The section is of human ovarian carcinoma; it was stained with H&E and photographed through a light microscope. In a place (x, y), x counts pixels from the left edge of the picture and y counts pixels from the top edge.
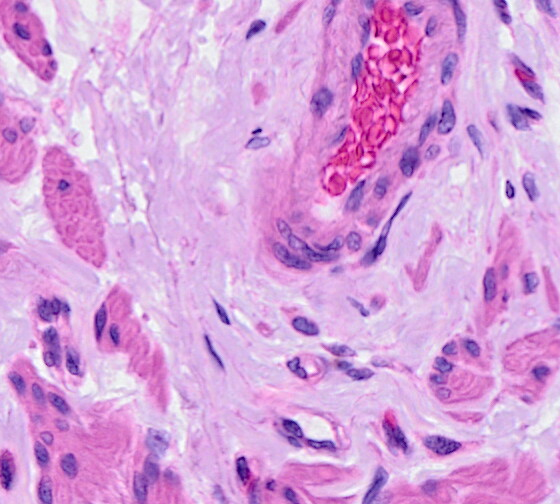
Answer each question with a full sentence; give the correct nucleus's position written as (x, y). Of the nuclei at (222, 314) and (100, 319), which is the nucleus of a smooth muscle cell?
Of the two nuclei present, the one at (100, 319) is within a smooth muscle cell.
